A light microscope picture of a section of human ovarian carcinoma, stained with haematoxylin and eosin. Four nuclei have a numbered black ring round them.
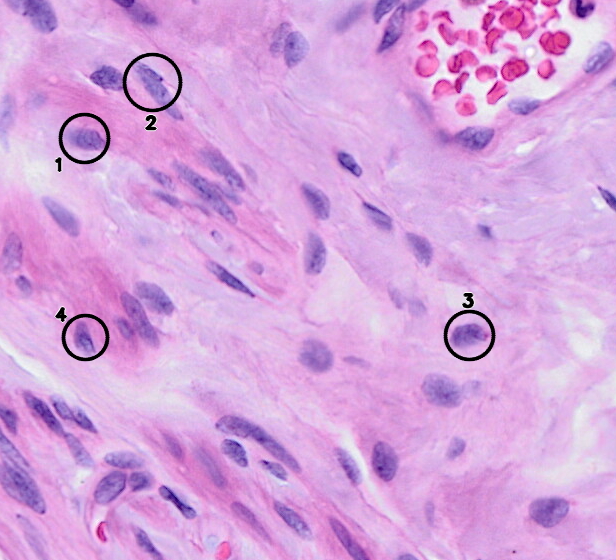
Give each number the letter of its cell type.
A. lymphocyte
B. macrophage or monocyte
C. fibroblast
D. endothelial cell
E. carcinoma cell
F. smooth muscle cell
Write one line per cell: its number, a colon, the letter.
1: F
2: F
3: C
4: F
